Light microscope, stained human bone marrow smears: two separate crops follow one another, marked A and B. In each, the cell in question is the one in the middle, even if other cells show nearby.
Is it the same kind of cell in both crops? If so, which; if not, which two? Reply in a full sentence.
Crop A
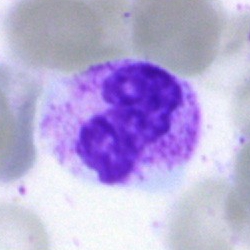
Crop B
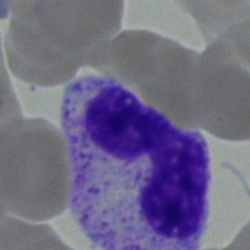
Yes, these two crops both show band neutrophils.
